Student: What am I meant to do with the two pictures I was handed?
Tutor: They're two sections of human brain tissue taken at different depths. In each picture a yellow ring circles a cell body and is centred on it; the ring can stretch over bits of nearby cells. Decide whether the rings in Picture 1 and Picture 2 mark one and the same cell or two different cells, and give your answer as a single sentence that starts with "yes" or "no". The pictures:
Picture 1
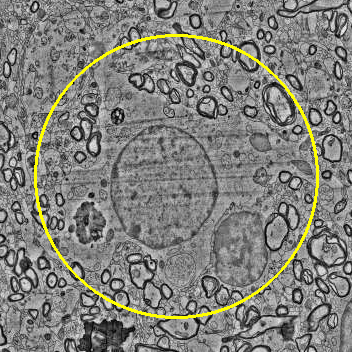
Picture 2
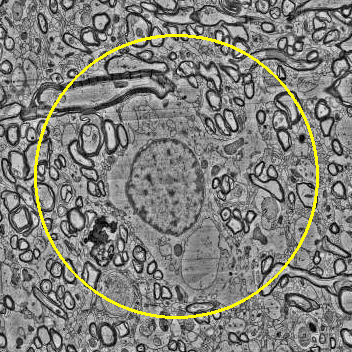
No, the two rings mark two different cells.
